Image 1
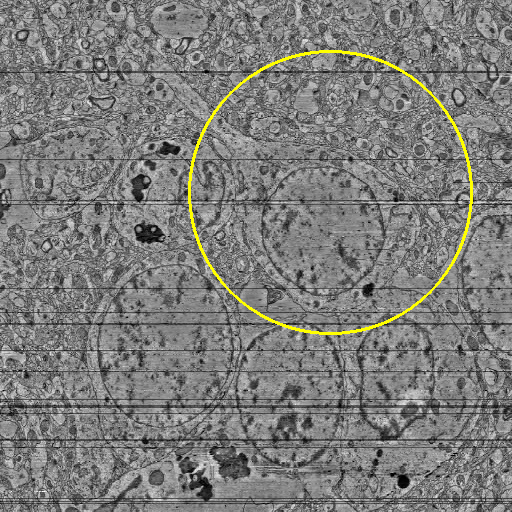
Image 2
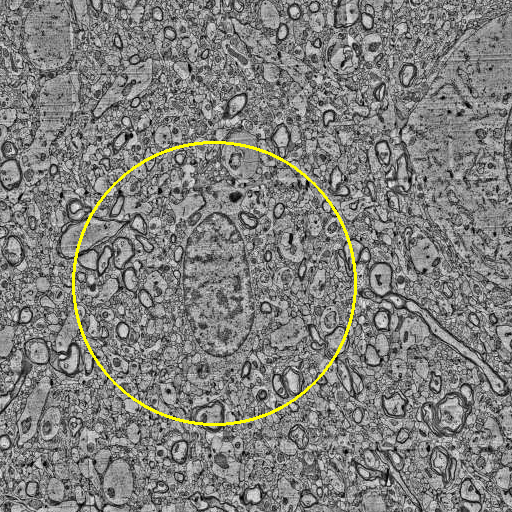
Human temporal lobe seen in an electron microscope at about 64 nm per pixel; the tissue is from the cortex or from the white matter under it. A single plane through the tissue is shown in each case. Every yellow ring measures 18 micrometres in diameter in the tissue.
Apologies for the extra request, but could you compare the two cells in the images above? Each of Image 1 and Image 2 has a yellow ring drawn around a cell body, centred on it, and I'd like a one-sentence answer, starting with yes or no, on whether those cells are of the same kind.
No, the two cells are of two kinds.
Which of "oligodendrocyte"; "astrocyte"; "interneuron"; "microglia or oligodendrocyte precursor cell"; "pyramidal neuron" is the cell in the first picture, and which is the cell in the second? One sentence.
The two differ: the first cell is a pyramidal neuron and the second is an oligodendrocyte.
